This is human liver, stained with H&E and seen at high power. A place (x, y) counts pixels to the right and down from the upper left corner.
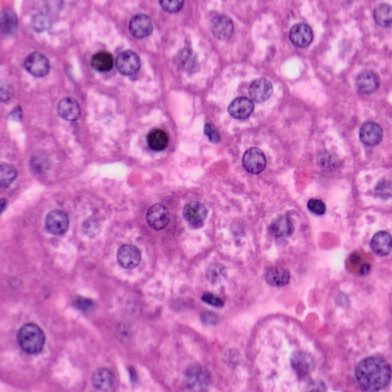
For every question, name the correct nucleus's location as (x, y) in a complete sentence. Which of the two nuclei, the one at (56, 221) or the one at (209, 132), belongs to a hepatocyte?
Of the two nuclei present, the one at (56, 221) is within a hepatocyte.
